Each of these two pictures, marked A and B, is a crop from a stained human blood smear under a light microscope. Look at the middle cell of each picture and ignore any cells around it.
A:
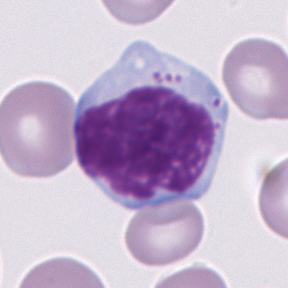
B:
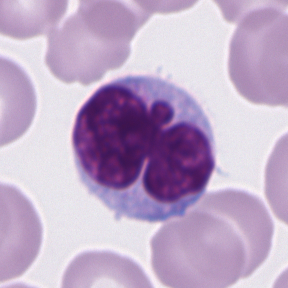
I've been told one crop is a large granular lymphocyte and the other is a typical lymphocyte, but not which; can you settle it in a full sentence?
The cell in crop A is a large granular lymphocyte, whereas the cell in crop B is a typical lymphocyte.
